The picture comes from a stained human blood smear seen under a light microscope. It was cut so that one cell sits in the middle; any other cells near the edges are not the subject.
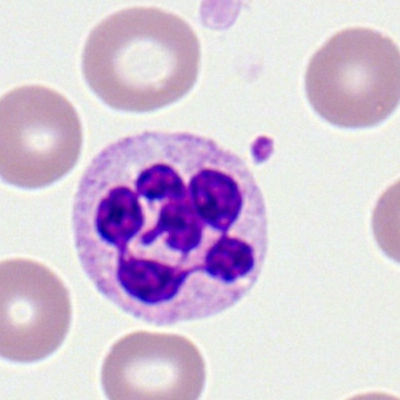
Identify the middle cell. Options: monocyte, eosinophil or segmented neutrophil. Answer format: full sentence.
Framed in the middle of the crop is a segmented neutrophil.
